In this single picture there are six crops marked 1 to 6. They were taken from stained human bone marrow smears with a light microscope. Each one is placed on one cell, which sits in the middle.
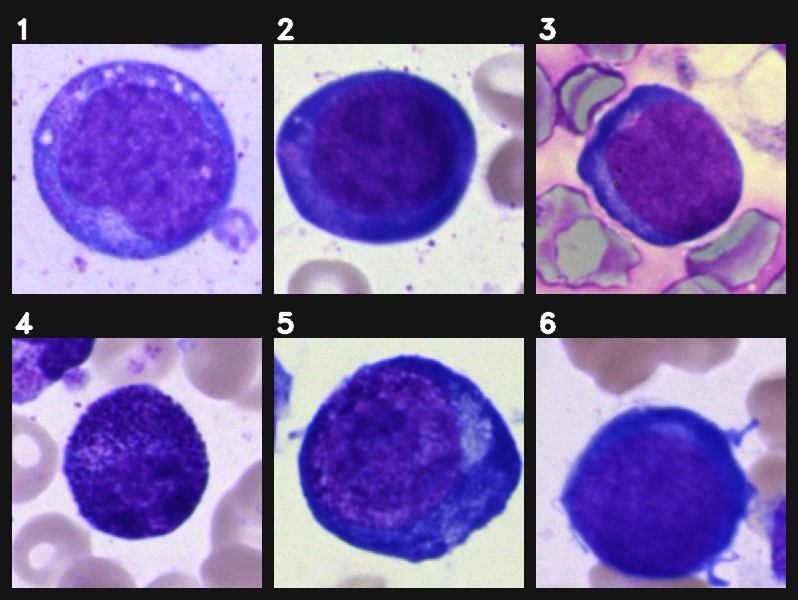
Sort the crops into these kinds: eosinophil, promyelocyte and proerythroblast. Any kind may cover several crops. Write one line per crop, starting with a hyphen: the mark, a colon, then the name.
- 1: promyelocyte
- 2: proerythroblast
- 3: proerythroblast
- 4: promyelocyte
- 5: proerythroblast
- 6: proerythroblast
